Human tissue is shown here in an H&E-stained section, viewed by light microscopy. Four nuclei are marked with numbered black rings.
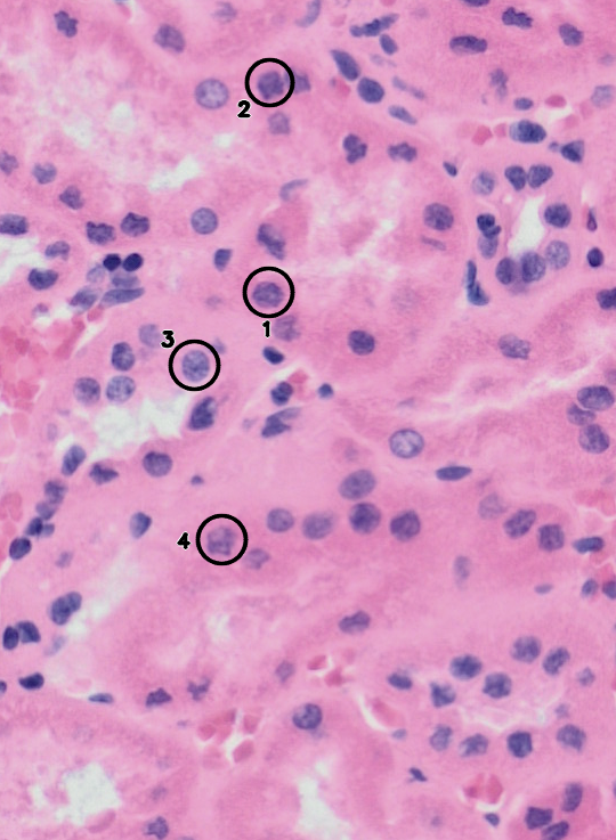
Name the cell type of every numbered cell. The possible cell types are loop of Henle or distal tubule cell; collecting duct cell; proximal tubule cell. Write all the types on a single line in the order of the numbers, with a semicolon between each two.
proximal tubule cell; proximal tubule cell; loop of Henle or distal tubule cell; proximal tubule cell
